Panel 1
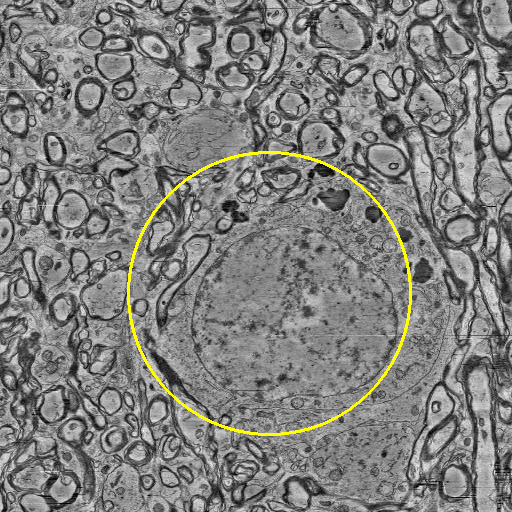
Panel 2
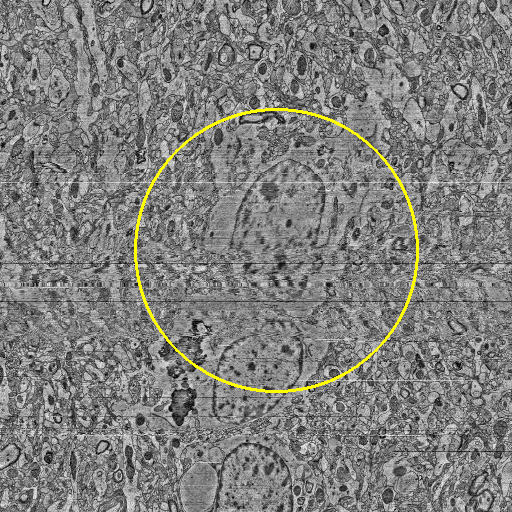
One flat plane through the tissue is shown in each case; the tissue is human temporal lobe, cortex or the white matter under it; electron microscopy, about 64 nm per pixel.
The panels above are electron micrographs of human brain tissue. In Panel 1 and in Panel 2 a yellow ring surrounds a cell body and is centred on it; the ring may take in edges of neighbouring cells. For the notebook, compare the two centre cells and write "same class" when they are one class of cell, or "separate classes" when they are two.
separate classes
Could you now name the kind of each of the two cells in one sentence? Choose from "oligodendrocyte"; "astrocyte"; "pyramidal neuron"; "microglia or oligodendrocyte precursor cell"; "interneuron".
The first ring encloses an interneuron; the second ring encloses an astrocyte.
